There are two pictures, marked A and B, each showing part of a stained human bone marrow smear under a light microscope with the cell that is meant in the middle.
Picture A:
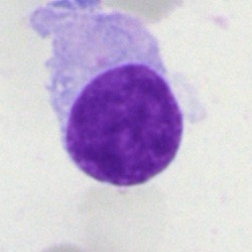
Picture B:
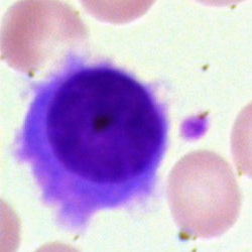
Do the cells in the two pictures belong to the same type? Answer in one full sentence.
Yes, both cells are hairy cells.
